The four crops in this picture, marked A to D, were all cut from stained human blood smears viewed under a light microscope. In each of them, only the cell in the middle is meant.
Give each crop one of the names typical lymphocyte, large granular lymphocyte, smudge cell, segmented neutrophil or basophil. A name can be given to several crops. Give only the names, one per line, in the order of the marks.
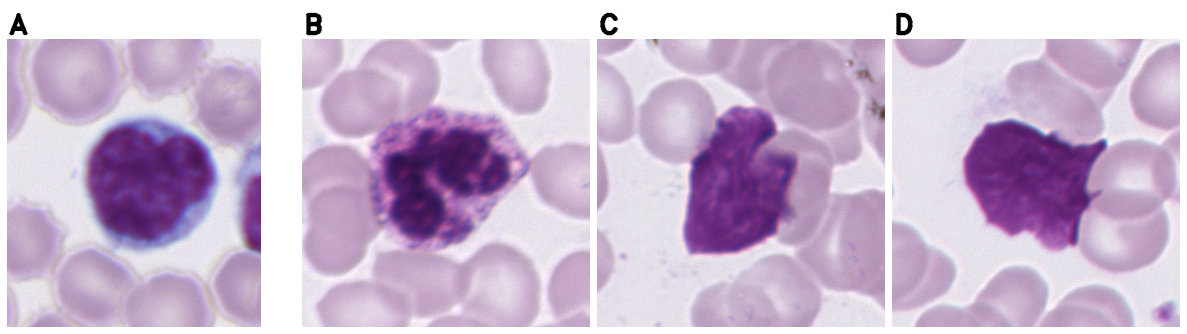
typical lymphocyte
basophil
smudge cell
smudge cell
